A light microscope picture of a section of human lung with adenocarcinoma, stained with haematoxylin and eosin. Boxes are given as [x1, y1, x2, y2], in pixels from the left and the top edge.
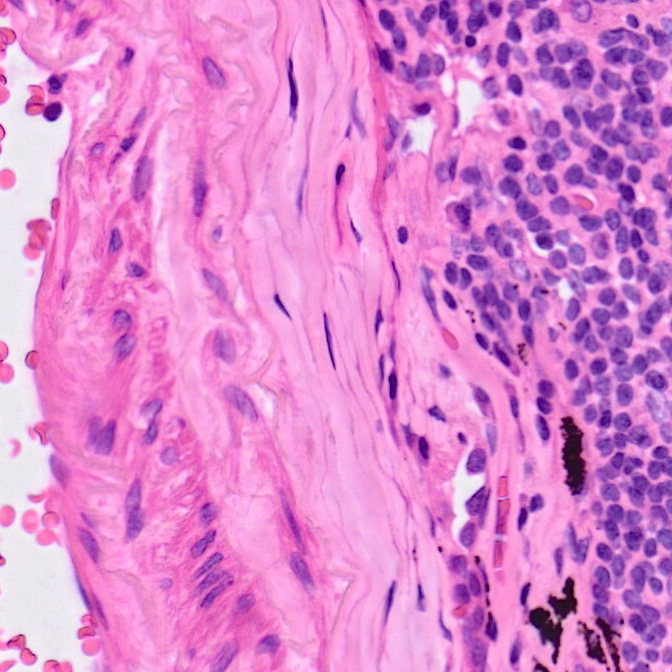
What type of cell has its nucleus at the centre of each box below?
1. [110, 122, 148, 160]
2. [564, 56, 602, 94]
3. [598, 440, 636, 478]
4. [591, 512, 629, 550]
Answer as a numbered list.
1. smooth muscle cell or pericyte
2. lymphocyte
3. lymphocyte
4. lymphocyte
